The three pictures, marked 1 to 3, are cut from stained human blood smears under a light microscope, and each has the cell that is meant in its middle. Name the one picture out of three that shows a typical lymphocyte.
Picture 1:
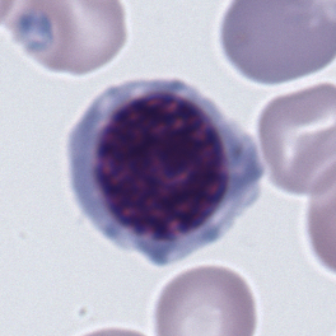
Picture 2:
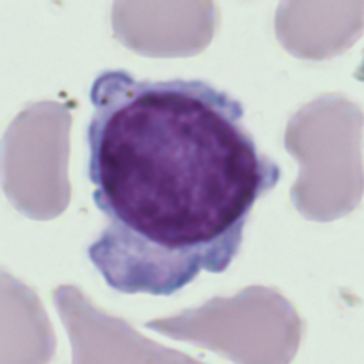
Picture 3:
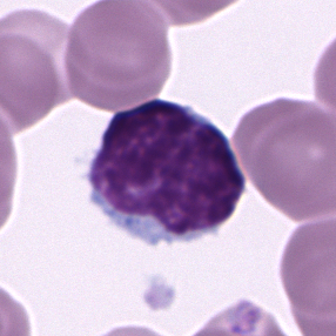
3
